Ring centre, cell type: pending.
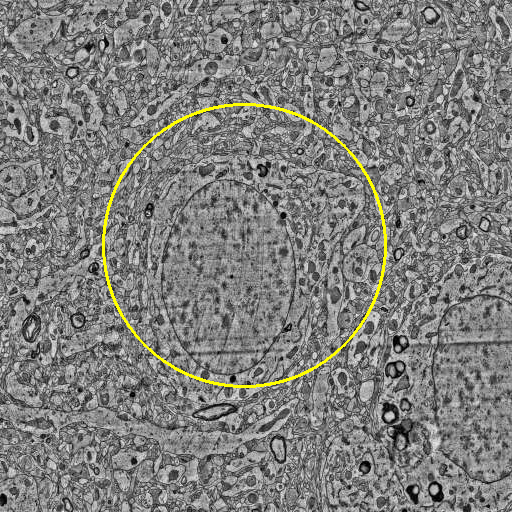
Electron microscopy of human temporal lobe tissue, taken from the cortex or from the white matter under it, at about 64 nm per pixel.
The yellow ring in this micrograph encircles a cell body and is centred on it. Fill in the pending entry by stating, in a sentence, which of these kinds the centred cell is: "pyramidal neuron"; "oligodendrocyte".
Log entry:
The centred cell is recorded as a pyramidal neuron.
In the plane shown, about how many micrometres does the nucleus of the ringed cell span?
About 12 by 9 micrometers for the nucleus, in this plane.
